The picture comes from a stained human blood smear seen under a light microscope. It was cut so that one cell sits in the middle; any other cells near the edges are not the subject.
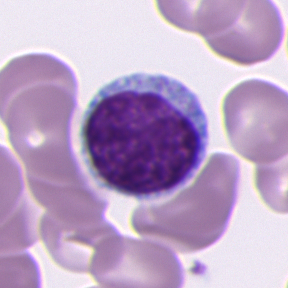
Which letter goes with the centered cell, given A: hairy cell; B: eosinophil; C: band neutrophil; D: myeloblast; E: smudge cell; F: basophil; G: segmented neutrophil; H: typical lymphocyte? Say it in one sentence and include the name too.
Option H is correct; the cell in the middle is a typical lymphocyte.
